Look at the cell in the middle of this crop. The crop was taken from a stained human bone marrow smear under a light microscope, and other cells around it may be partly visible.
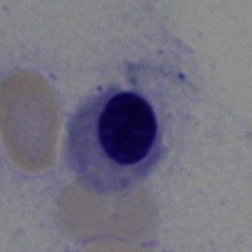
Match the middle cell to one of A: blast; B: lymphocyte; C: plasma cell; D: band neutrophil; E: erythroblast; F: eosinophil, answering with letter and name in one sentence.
The centered cell is an erythroblast, which is why option E is right.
